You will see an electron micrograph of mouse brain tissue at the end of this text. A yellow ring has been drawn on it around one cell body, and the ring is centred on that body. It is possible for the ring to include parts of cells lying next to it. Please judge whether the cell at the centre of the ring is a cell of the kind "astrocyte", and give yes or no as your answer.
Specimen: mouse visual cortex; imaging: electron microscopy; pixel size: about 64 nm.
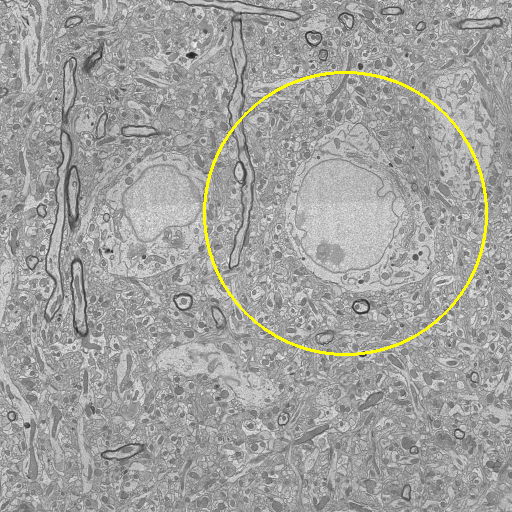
no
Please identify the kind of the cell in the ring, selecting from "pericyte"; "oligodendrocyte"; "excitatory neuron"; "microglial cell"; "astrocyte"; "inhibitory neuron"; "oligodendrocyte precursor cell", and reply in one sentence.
Instead, the cell inside the ring is an excitatory neuron.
